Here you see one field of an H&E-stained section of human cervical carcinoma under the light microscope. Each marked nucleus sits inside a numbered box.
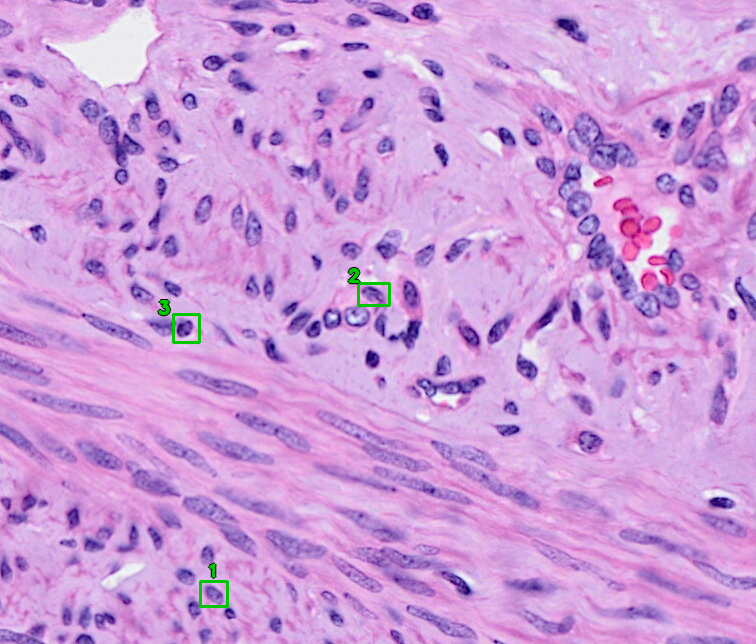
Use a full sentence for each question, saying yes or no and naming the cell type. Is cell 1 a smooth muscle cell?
Yes, correct, the cell with the number 1 is a smooth muscle cell.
